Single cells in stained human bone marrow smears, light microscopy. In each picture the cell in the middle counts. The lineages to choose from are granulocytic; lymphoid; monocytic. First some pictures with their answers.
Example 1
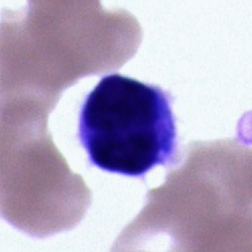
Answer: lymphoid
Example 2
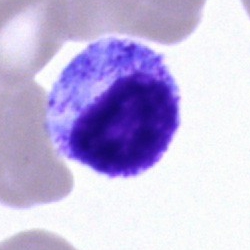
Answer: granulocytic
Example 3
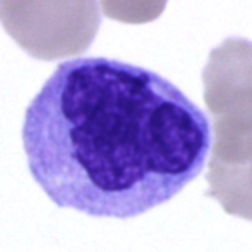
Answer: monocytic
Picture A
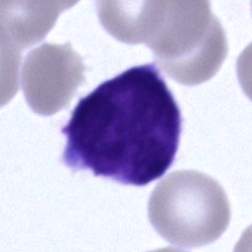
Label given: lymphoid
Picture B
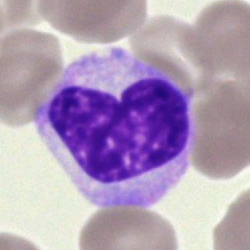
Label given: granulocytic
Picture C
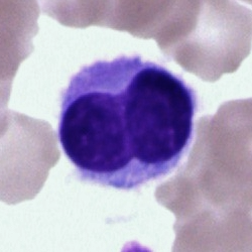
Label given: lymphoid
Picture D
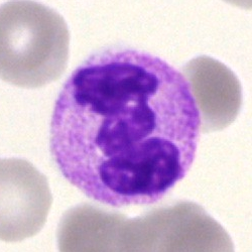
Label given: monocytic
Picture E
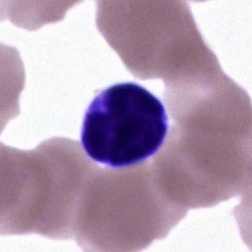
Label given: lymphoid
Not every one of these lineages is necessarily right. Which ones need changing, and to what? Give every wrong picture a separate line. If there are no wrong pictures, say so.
D: change monocytic to granulocytic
